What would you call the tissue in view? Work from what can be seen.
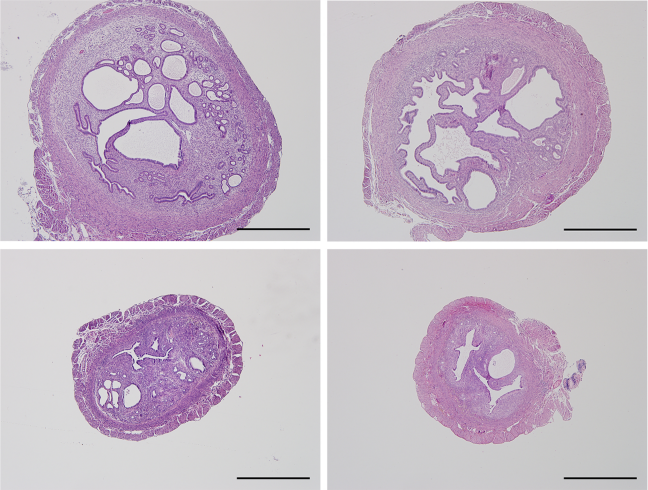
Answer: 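Uterine. Round cross-sections of a hollow organ with a central irregular lumen. Lumen lined by epithelium and surrounded by stroma containing glands. Outer rim of layered smooth muscle.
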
